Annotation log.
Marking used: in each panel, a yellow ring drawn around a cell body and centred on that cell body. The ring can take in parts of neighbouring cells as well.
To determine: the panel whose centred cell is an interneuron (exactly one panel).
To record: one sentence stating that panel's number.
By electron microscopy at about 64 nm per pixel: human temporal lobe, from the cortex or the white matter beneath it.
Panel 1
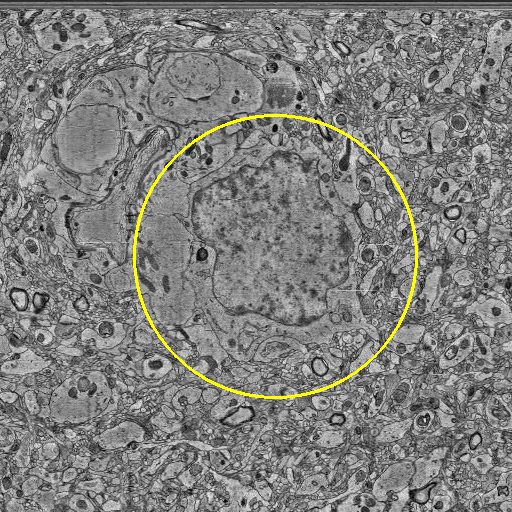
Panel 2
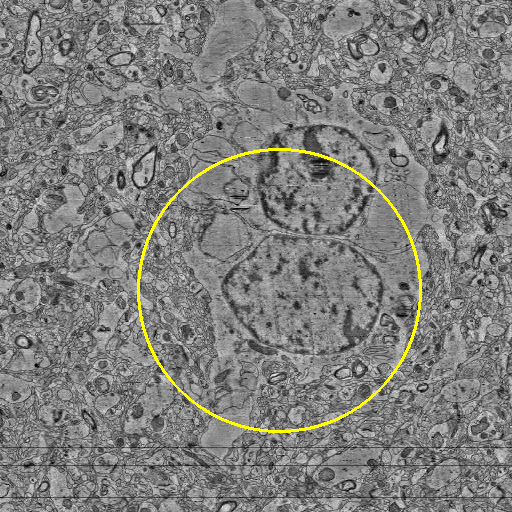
Panel 1 shows it at the centre of its ring.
